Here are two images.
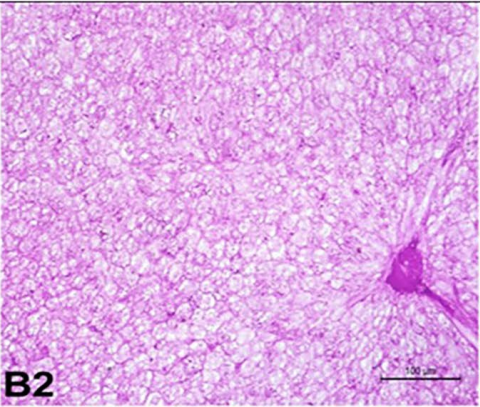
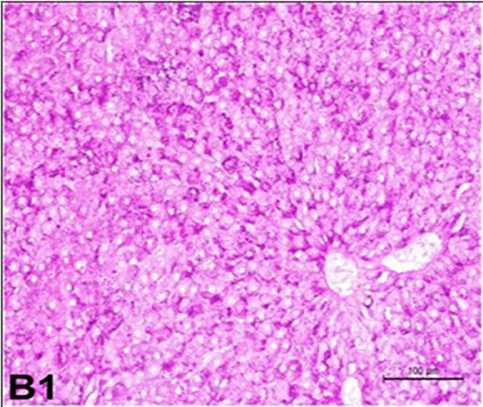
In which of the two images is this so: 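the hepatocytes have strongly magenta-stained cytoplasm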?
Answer: The second image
